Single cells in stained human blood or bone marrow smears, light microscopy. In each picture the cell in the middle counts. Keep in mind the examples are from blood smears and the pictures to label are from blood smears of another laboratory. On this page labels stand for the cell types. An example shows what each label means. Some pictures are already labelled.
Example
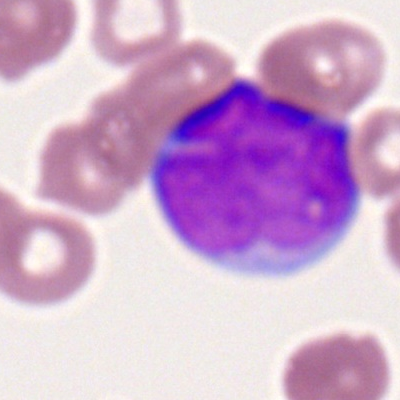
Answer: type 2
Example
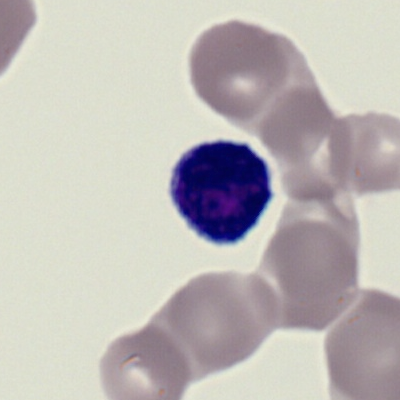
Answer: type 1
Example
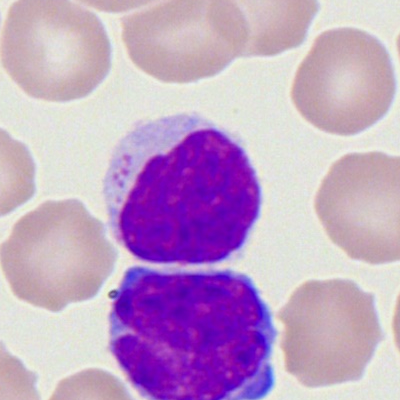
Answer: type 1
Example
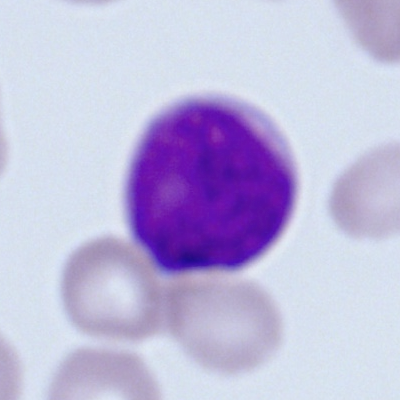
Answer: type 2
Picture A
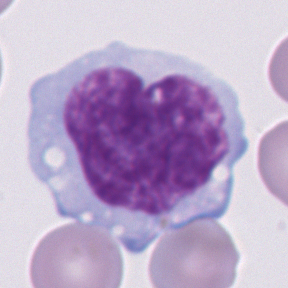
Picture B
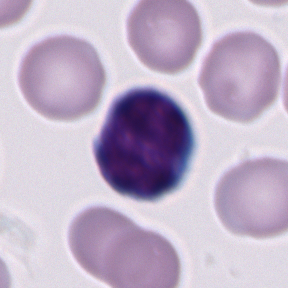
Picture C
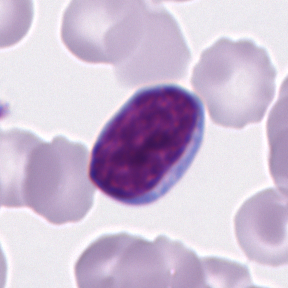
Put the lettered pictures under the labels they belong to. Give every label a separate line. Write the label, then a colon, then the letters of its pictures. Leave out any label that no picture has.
type 2: A
type 1: B, C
